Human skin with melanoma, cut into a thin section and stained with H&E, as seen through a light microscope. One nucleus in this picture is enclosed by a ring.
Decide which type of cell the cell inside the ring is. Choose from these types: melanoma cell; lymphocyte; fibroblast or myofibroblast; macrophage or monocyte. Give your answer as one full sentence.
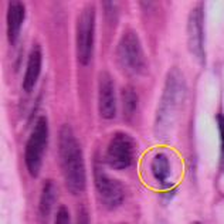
The cell meant here is a lymphocyte.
